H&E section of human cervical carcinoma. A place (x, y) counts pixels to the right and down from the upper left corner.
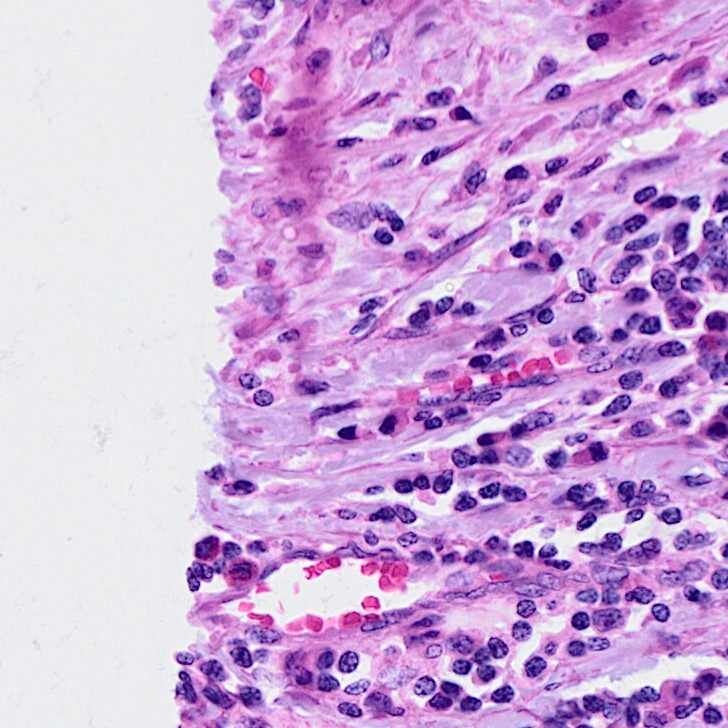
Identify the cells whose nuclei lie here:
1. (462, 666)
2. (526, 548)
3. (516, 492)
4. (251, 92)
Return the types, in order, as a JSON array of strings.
["lymphocyte", "lymphocyte", "lymphocyte", "endothelial cell"]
